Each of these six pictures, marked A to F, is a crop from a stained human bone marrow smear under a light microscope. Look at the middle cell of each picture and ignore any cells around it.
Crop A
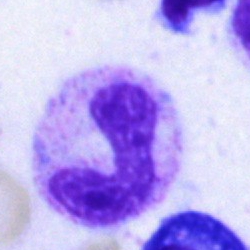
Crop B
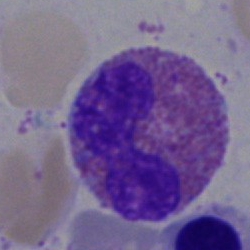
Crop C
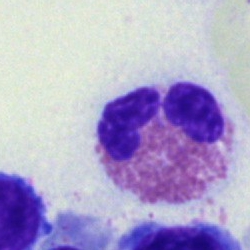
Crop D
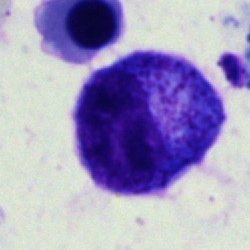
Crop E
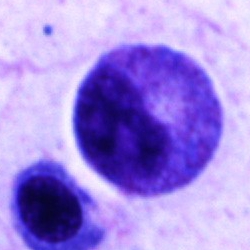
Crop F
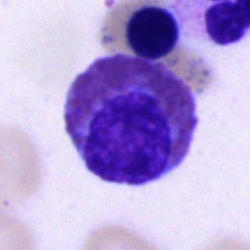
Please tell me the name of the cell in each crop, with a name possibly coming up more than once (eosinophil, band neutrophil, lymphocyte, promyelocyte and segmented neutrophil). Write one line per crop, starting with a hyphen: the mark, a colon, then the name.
- A: band neutrophil
- B: eosinophil
- C: eosinophil
- D: promyelocyte
- E: promyelocyte
- F: eosinophil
